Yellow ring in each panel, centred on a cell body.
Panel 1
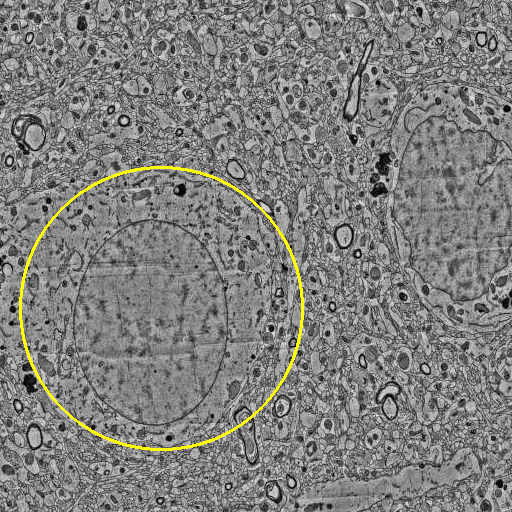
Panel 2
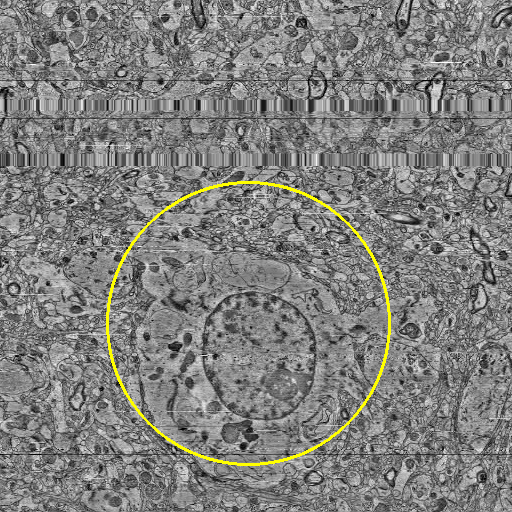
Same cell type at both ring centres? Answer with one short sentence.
No, the two cells are of two types.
